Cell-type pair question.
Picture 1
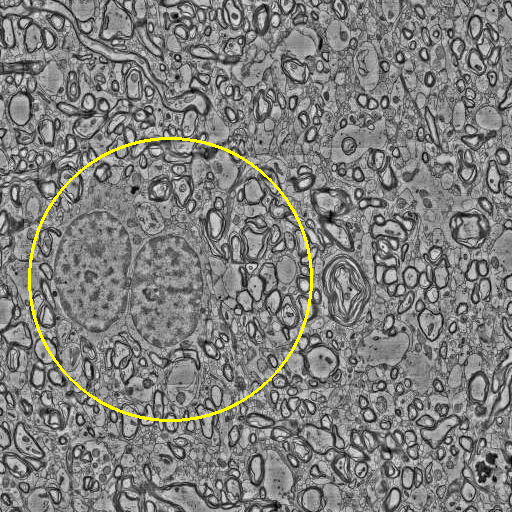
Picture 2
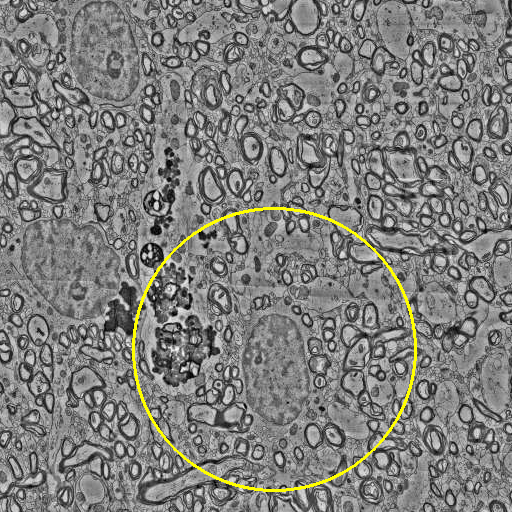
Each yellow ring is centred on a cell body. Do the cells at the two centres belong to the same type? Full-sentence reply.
Yes, the two cells belong to the same type.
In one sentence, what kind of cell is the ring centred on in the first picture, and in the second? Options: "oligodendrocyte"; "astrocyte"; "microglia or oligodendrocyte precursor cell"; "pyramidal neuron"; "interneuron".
In both pictures the ring is centred on an oligodendrocyte.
